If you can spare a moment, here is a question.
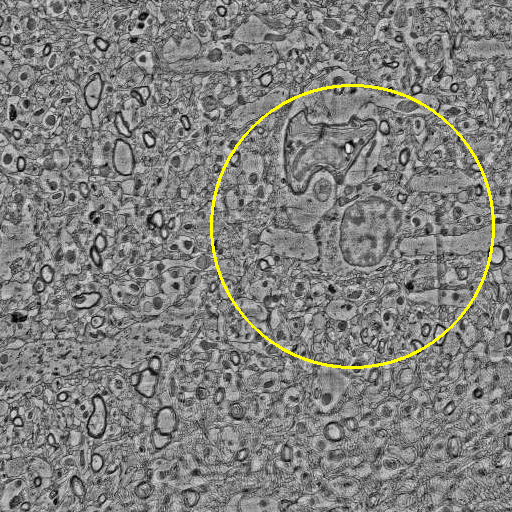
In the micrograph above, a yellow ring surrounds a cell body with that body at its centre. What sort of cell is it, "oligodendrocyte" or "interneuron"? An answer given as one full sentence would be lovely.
Centred inside the yellow ring, the cell body shown belongs to an oligodendrocyte in this micrograph.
